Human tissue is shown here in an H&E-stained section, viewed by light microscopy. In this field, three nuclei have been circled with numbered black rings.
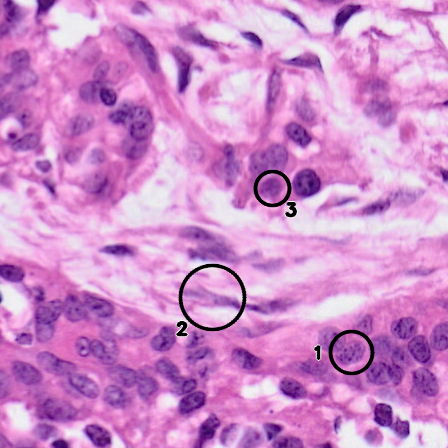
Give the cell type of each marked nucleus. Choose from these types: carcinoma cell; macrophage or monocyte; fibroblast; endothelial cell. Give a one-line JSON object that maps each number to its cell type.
{"1": "carcinoma cell", "2": "fibroblast", "3": "carcinoma cell"}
